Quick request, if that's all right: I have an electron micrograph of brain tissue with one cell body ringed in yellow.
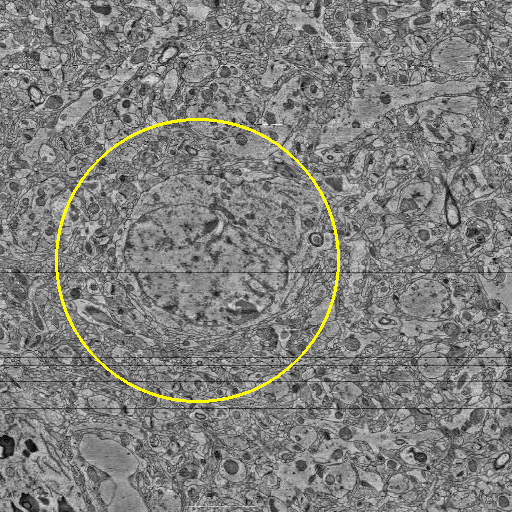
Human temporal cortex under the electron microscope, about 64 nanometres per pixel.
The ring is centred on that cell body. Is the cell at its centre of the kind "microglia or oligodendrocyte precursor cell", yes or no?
no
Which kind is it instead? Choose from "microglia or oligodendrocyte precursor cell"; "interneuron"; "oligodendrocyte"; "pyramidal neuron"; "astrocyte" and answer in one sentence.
Instead, the picture shows an interneuron at the centre of the ring.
